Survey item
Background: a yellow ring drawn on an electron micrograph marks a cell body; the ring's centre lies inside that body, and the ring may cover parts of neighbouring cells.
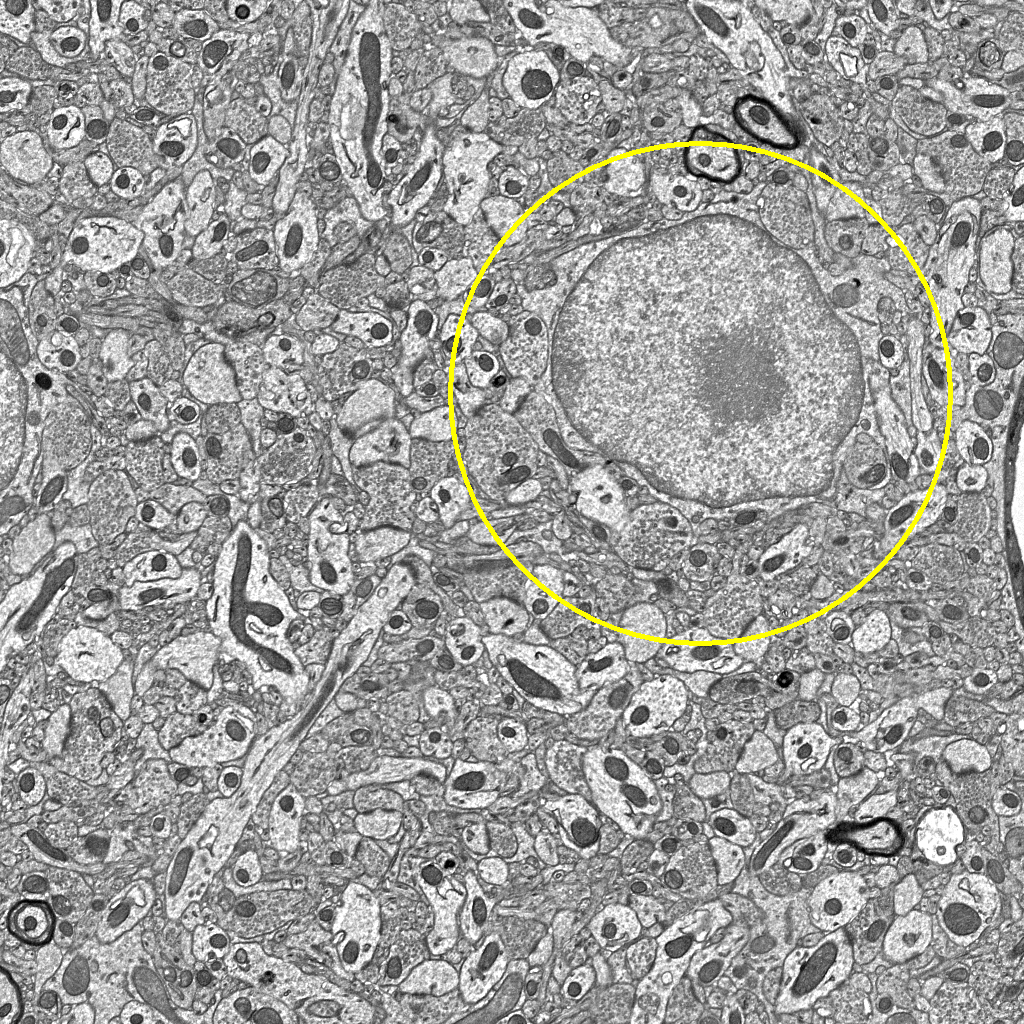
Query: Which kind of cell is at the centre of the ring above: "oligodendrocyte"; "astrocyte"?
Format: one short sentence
The cell in the middle of the ring is an astrocyte.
